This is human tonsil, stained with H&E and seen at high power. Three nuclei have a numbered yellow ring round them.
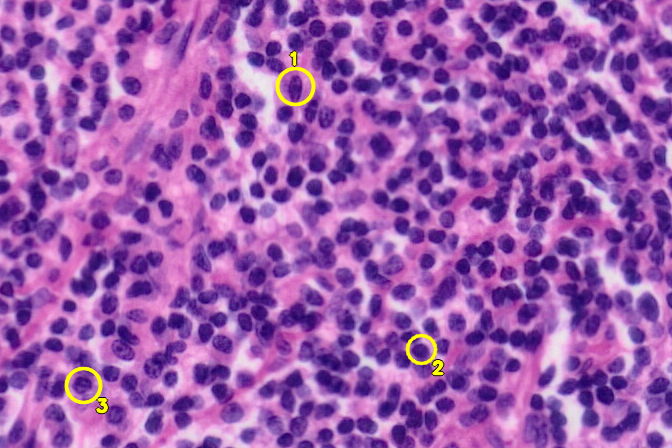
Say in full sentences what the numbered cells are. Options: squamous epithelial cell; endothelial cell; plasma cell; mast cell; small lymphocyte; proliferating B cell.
Cell 1 is a plasma cell, cell 2 is a small lymphocyte and cell 3 is a plasma cell.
